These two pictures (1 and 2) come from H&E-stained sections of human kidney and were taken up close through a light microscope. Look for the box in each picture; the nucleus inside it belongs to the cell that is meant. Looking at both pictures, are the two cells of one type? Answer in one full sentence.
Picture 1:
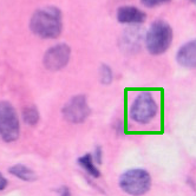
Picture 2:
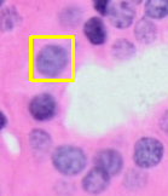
Yes, they are the same type: both are collecting duct cells.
